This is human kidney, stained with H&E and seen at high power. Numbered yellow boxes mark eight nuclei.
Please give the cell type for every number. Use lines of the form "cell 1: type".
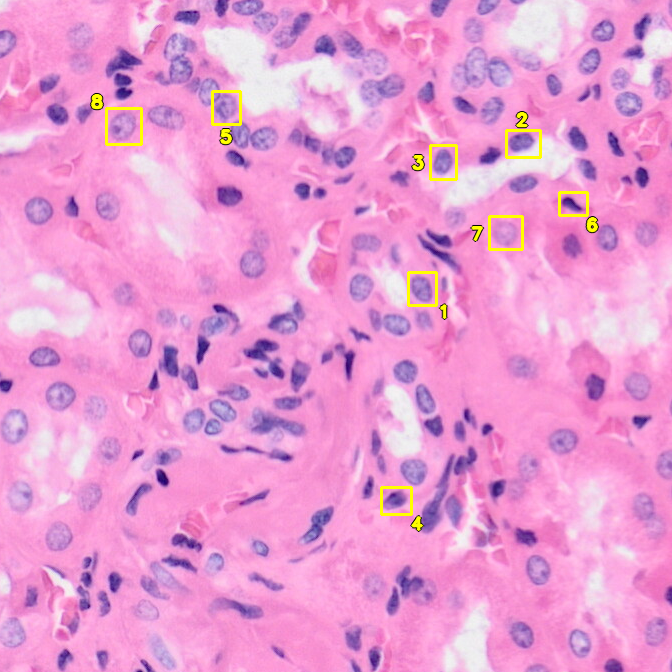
cell 1: collecting duct cell
cell 2: loop of Henle or distal tubule cell
cell 3: loop of Henle or distal tubule cell
cell 4: endothelial cell
cell 5: collecting duct cell
cell 6: endothelial cell
cell 7: proximal tubule cell
cell 8: proximal tubule cell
